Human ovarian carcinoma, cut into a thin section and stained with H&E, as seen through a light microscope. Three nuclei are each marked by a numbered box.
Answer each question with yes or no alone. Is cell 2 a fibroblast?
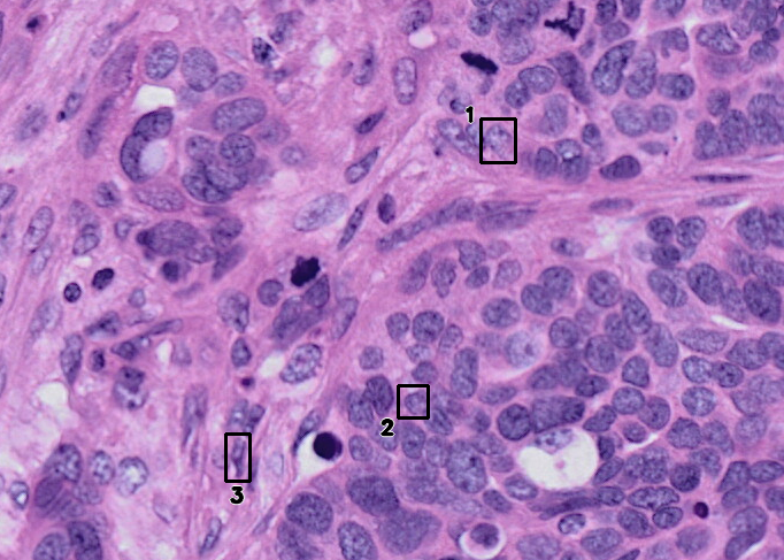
no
